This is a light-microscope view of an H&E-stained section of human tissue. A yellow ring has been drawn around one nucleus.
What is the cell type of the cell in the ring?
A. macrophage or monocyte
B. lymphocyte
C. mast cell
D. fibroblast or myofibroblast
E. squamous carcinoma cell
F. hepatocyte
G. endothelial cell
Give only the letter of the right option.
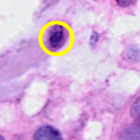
C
